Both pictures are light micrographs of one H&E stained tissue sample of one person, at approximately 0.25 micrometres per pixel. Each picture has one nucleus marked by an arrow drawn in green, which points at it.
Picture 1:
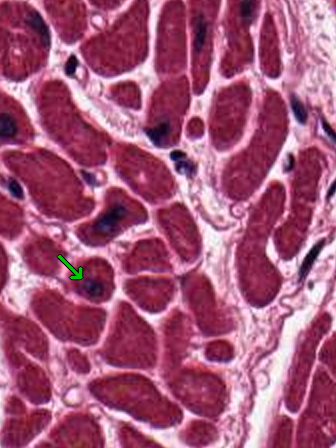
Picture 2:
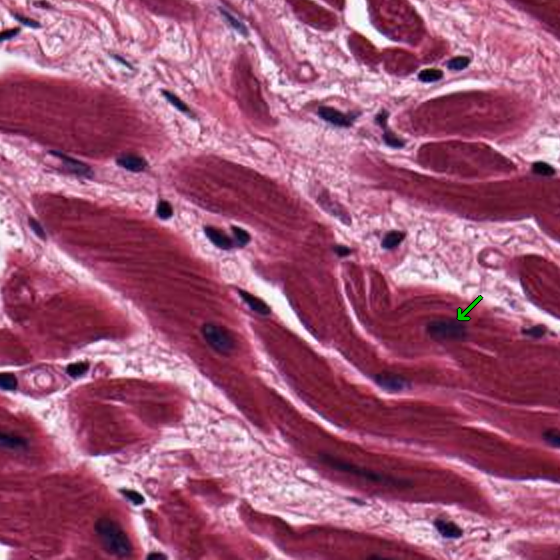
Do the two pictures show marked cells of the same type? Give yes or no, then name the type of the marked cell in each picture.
Yes, both are cardiomyocytes.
